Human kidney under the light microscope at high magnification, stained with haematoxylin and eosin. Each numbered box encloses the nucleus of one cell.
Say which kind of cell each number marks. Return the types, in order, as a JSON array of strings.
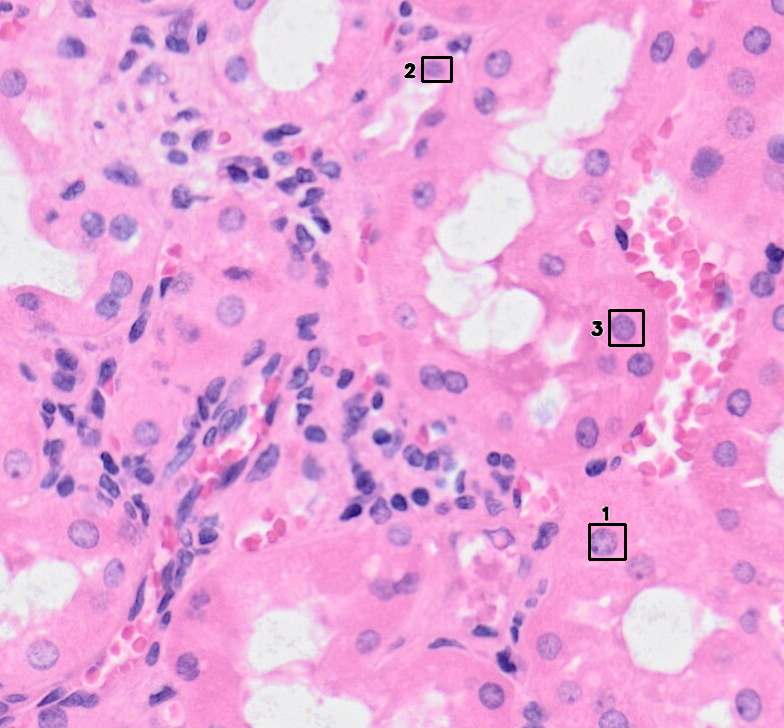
["proximal tubule cell", "loop of Henle or distal tubule cell", "proximal tubule cell"]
